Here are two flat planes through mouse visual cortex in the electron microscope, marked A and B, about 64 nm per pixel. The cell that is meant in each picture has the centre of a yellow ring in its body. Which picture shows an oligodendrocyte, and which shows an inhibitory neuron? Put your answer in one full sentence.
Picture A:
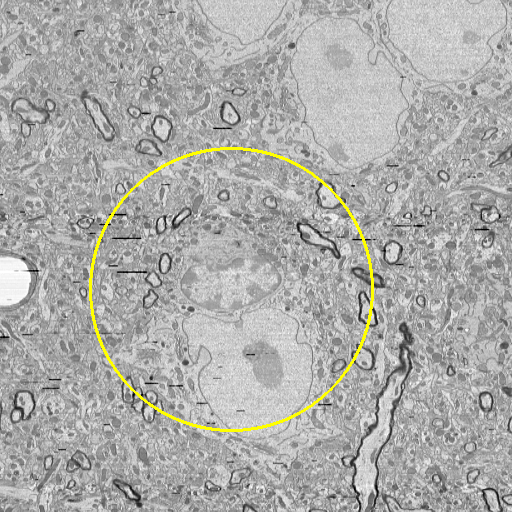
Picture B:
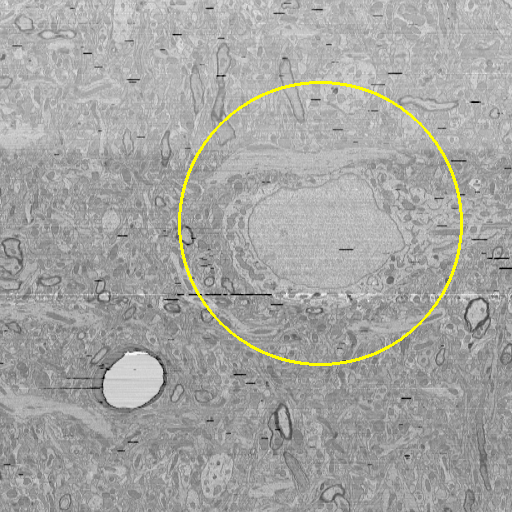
It is picture A that shows an oligodendrocyte, and picture B that shows an inhibitory neuron.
